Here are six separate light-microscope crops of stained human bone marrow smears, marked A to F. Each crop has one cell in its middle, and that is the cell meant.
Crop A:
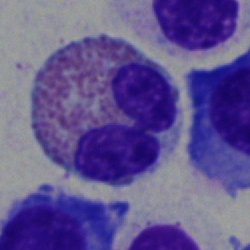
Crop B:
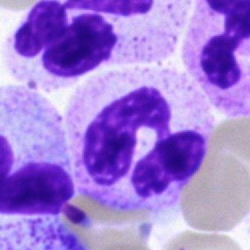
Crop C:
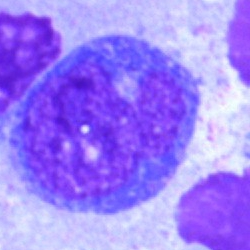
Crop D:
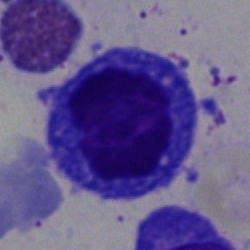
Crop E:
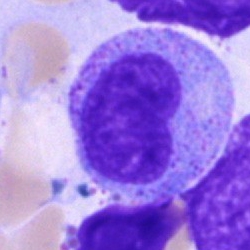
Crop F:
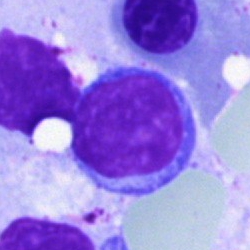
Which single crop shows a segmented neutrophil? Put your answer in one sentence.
Of the crops given, a segmented neutrophil is found in crop B.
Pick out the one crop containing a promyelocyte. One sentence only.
In this set, crop E is the one showing a promyelocyte.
